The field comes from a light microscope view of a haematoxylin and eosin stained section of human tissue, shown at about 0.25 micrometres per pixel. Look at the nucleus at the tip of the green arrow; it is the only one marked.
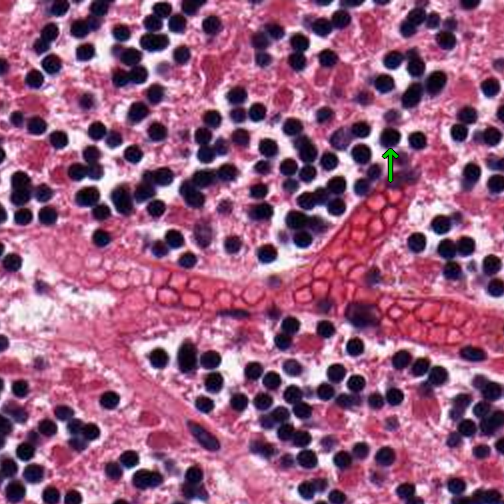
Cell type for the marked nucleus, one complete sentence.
Here it is a cerebellar granule cell that the marked nucleus belongs to.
